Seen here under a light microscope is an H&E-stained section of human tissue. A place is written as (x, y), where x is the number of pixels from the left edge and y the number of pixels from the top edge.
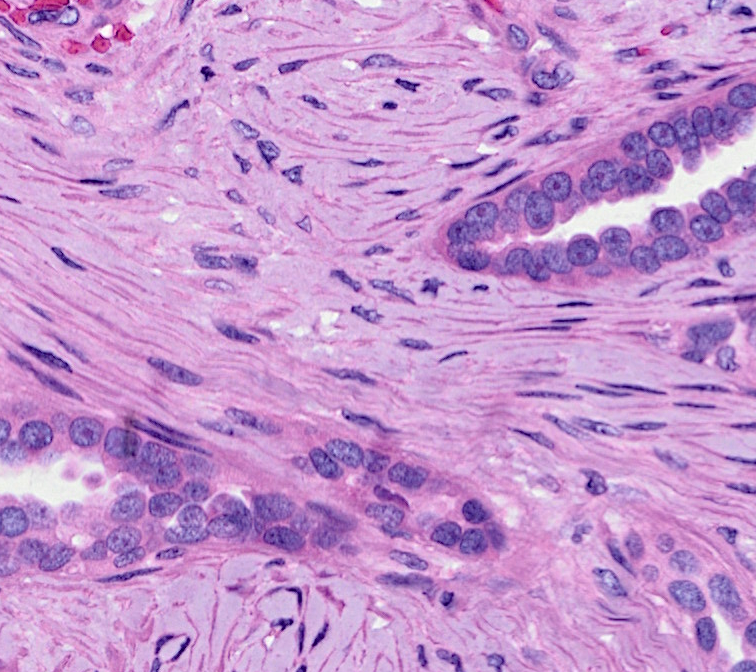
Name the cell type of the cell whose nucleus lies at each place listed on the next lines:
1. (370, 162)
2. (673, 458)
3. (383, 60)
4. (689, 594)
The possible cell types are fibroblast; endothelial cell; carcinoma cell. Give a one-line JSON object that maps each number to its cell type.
{"1": "fibroblast", "2": "fibroblast", "3": "fibroblast", "4": "carcinoma cell"}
